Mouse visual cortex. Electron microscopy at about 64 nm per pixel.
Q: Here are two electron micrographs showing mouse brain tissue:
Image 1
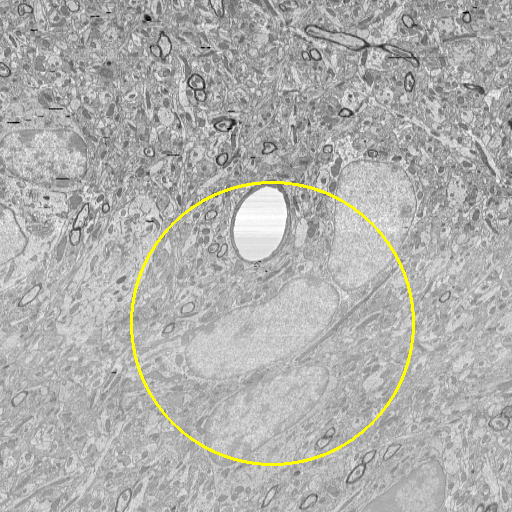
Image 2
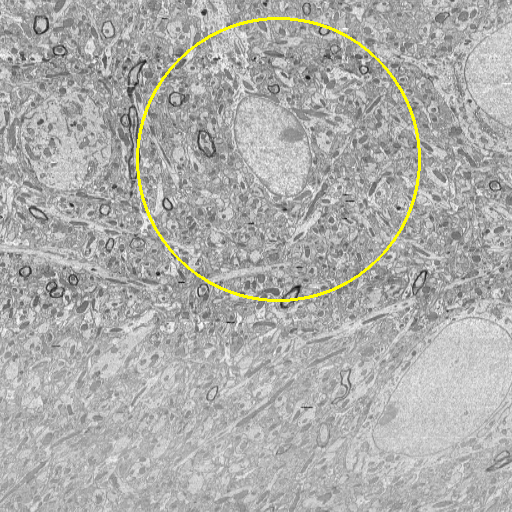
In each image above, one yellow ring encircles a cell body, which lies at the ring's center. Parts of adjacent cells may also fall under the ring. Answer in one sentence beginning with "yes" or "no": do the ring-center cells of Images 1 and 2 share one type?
Yes, in Images 1 and 2, the ring-center cells are both of one type.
